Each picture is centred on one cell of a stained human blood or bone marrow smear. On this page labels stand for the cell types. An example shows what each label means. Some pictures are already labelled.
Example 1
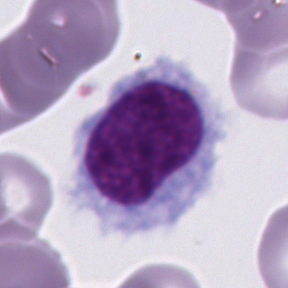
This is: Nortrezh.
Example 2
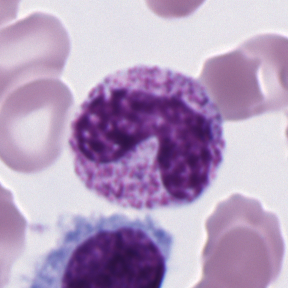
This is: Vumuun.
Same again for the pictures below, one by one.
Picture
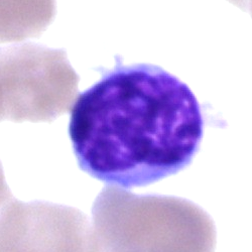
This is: Nortrezh.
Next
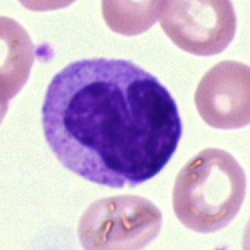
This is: Vumuun.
